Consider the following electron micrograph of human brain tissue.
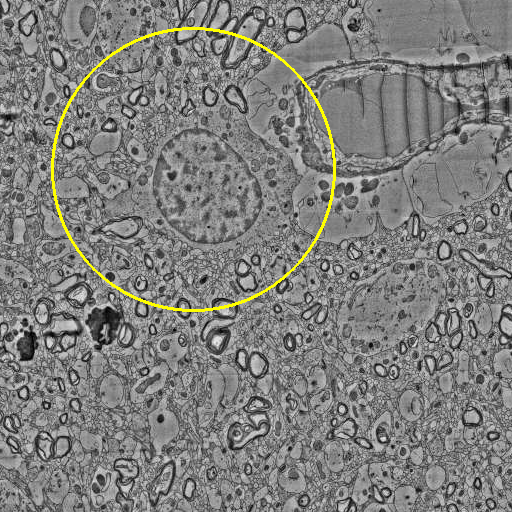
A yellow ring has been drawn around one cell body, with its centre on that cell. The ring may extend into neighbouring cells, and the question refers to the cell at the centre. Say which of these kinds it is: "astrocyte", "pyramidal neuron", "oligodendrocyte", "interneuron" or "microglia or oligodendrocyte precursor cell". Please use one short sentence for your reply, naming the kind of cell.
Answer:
The centre of the ring falls on an oligodendrocyte.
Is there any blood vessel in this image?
Yes, a blood vessel is present in this picture.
